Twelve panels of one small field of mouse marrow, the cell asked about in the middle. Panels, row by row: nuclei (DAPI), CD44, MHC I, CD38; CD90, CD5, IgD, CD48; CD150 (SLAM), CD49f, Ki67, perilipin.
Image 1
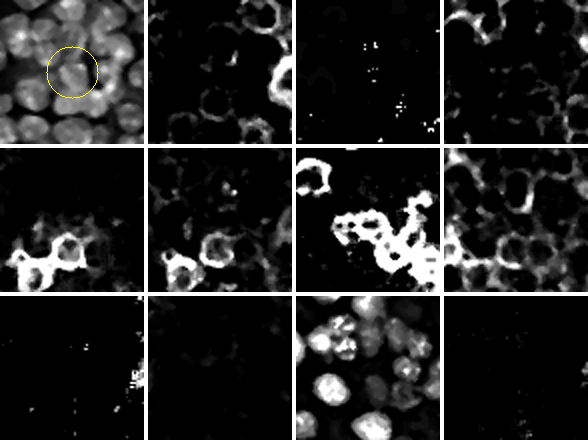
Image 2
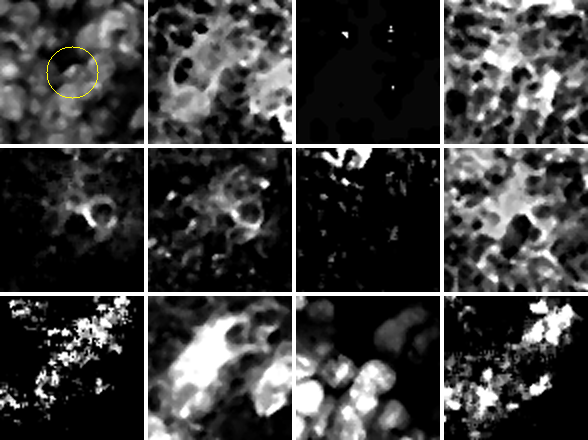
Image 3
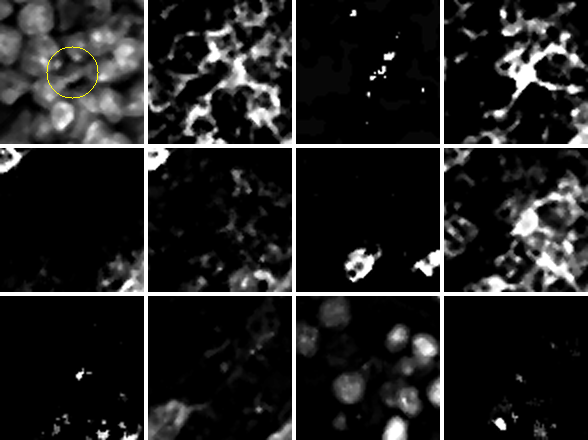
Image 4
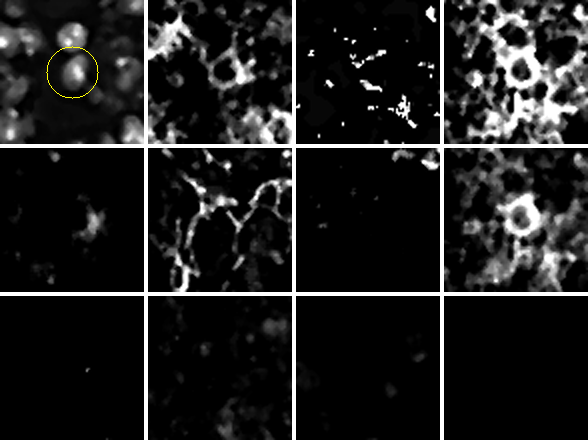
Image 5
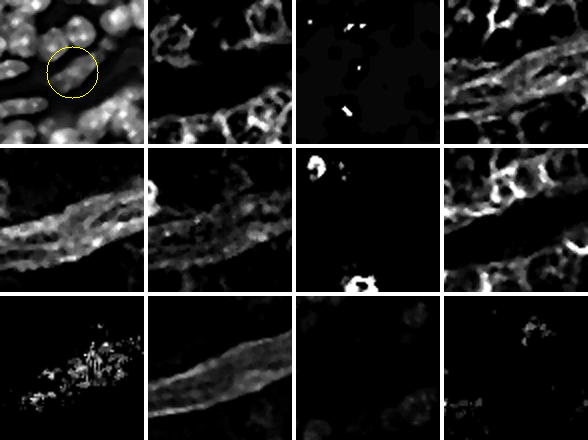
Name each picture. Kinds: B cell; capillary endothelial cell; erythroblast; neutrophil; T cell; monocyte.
Picture 1: B cell
Picture 2: T cell
Picture 3: monocyte
Picture 4: monocyte
Picture 5: capillary endothelial cell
